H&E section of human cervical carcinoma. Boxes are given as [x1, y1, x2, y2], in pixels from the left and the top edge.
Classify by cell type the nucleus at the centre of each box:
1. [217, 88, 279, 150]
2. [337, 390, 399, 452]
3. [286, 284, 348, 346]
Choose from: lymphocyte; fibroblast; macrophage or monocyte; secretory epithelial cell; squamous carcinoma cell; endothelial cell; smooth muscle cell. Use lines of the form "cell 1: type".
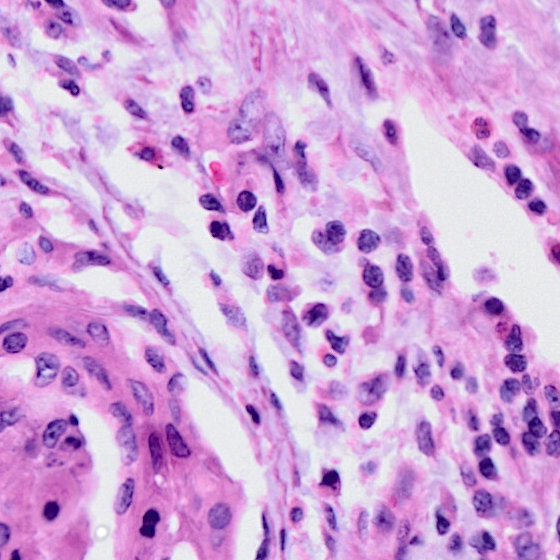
cell 1: endothelial cell
cell 2: lymphocyte
cell 3: lymphocyte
